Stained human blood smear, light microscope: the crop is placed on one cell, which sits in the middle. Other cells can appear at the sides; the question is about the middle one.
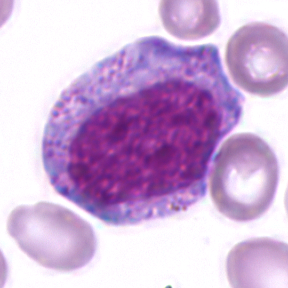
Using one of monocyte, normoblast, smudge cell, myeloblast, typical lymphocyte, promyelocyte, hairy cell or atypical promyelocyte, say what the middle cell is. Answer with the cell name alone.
promyelocyte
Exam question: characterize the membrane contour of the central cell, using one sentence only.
The cytoplasmic margin is uneven, whether through ragged segments or through projections.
